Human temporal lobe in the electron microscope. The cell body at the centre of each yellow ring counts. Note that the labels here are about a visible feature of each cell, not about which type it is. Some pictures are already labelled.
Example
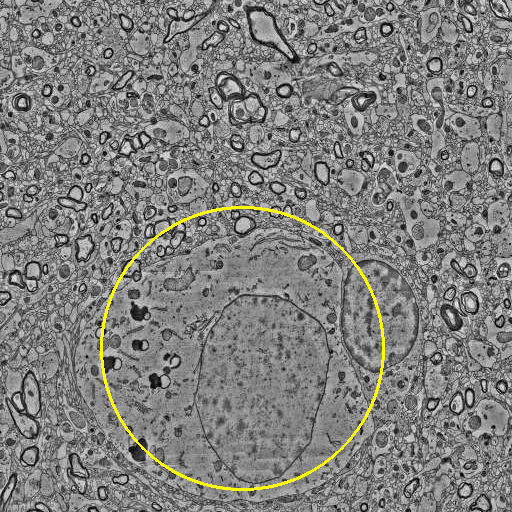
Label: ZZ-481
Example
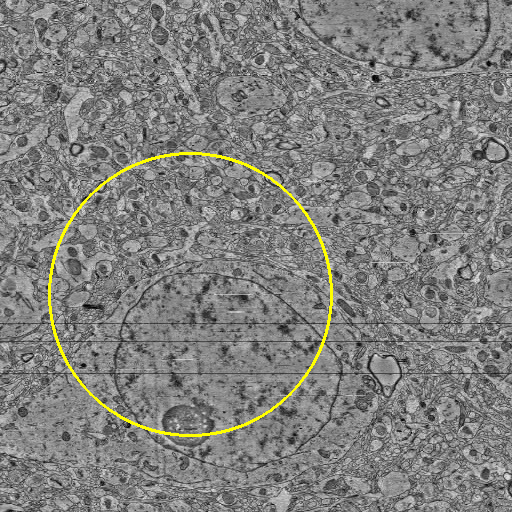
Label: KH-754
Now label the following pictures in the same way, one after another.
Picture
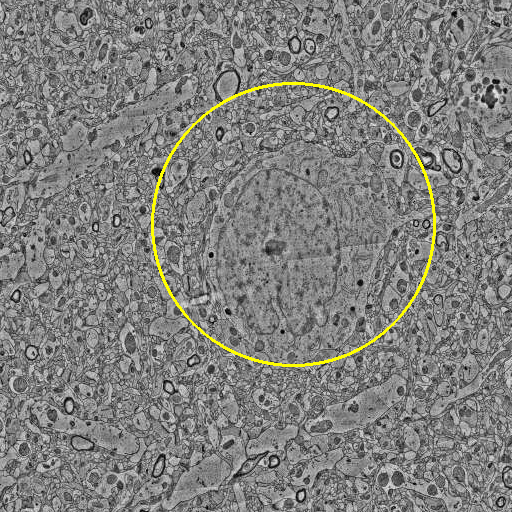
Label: KH-754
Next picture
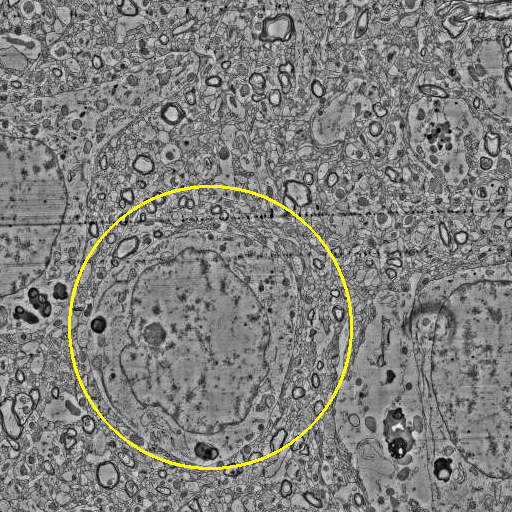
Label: KH-754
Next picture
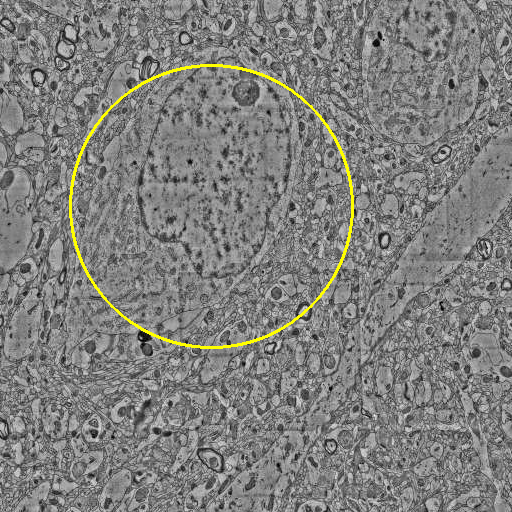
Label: KH-754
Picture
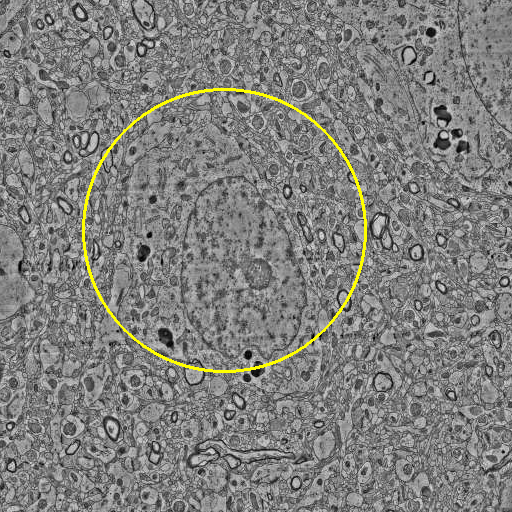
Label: KH-754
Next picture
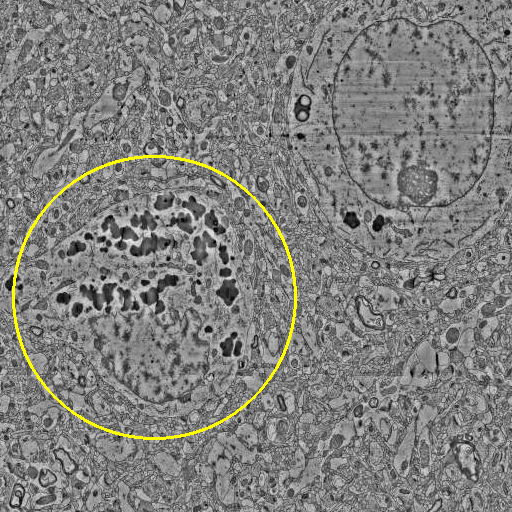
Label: ZZ-481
